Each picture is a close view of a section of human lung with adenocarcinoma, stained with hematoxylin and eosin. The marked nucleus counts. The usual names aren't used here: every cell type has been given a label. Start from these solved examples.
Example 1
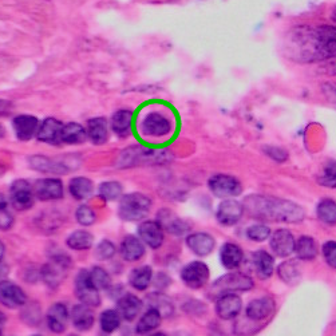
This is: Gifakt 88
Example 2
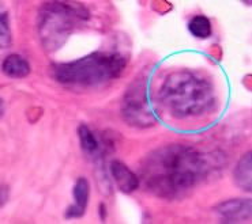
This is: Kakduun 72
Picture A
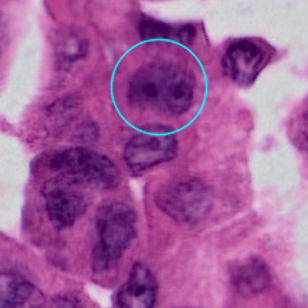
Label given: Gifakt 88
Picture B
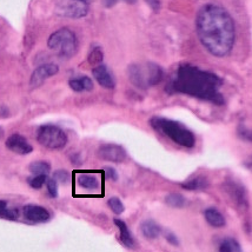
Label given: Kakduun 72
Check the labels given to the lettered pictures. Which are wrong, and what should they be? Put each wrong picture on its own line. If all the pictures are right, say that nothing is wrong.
A should be Kakduun 72, not Gifakt 88
B should be Gifakt 88, not Kakduun 72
